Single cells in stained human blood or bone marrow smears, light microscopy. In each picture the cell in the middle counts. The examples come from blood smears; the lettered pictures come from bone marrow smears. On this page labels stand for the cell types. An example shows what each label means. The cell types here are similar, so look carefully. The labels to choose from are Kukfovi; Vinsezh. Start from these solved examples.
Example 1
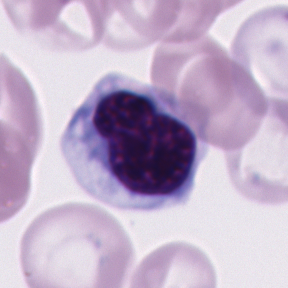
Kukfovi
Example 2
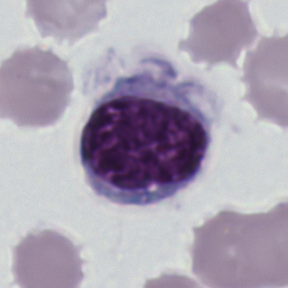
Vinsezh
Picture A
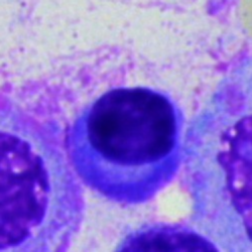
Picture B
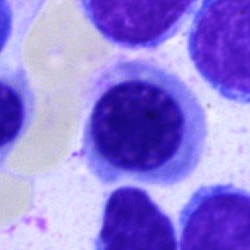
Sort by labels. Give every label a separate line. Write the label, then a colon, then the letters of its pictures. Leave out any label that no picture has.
Kukfovi: B
Vinsezh: A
